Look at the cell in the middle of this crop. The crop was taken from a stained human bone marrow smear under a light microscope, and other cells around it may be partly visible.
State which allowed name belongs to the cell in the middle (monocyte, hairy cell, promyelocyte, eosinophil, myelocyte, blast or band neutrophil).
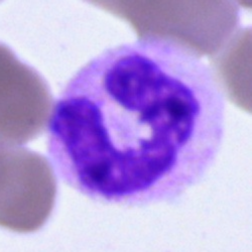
band neutrophil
